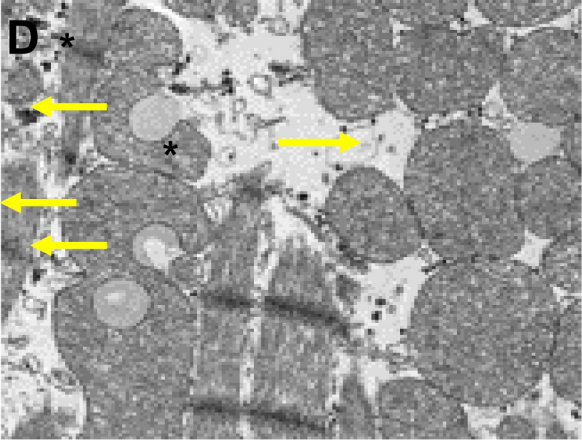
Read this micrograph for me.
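This is heart muscle at electron-microscope scale, showing a cardiomyocyte whose interior is dominated by mitochondria rather than contractile filaments. Many large, rounded mitochondria with dense granular matrix are clustered together, several sitting in pale, empty-looking spaces. Between them lie a few round, smooth, pale grey droplets that look like lipid. The ordered alternation of myofibrils and mitochondrial rows seen in normal heart muscle is lost, and the tissue looks disrupted and loosened.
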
